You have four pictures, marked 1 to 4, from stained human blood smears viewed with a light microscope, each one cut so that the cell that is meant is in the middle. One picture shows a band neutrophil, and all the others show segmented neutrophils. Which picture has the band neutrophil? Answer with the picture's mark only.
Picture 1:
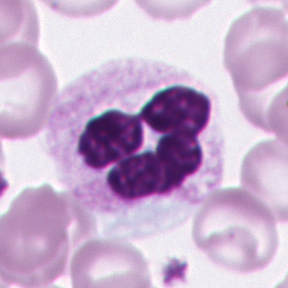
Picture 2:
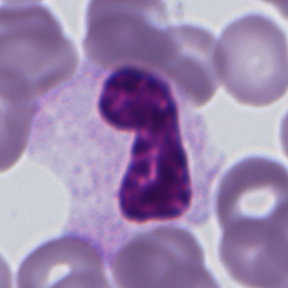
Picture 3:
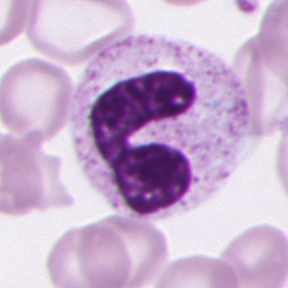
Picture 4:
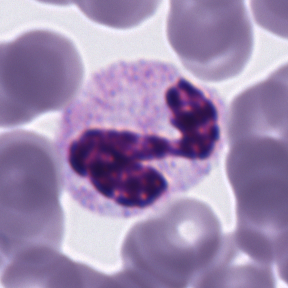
2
